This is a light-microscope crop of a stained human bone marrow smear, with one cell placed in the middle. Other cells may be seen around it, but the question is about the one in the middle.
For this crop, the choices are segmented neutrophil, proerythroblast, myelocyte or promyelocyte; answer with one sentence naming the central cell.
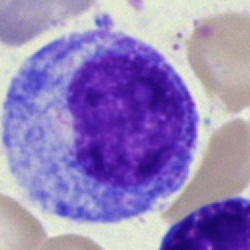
Located at the centre of the crop is a promyelocyte.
